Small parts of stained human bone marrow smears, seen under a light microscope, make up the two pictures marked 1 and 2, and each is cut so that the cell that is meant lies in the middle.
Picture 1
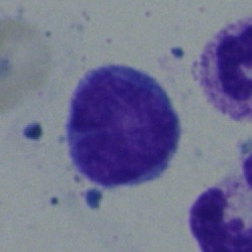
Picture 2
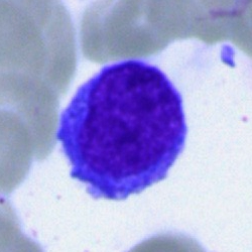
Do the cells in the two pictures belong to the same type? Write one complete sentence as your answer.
Yes, both cells are blasts.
